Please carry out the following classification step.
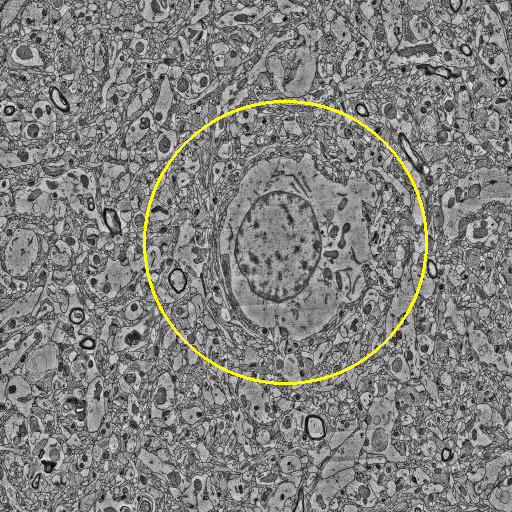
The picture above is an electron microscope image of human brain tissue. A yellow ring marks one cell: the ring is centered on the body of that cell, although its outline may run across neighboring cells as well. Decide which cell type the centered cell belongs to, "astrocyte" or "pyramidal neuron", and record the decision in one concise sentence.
The cell centered in the yellow ring is an astrocyte.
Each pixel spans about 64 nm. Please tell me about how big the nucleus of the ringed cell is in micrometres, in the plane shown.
The nucleus comes to roughly 7 by 6 micrometres in this plane.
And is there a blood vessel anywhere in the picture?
No, the image shows no blood vessel.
